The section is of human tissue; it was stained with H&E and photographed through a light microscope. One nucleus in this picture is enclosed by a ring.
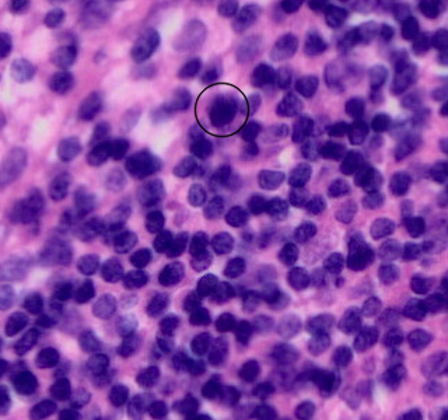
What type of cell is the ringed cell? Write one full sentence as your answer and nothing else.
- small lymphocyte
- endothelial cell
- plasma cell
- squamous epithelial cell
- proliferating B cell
The classification of the ringed cell is as a proliferating B cell.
